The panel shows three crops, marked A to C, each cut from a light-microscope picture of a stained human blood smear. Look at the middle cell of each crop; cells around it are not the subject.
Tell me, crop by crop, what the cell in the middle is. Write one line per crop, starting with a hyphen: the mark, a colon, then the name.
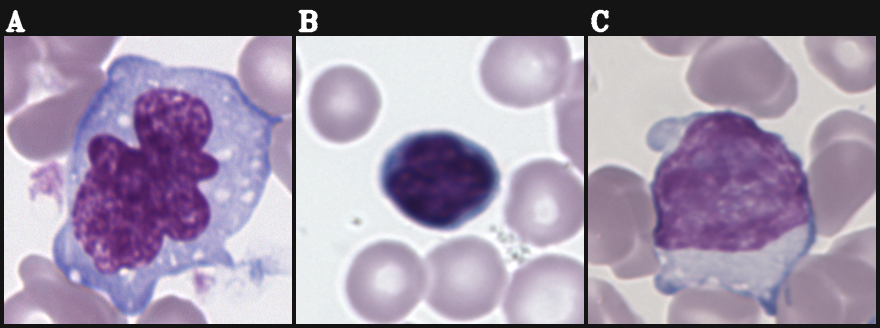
- A: monocyte
- B: typical lymphocyte
- C: myeloblast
